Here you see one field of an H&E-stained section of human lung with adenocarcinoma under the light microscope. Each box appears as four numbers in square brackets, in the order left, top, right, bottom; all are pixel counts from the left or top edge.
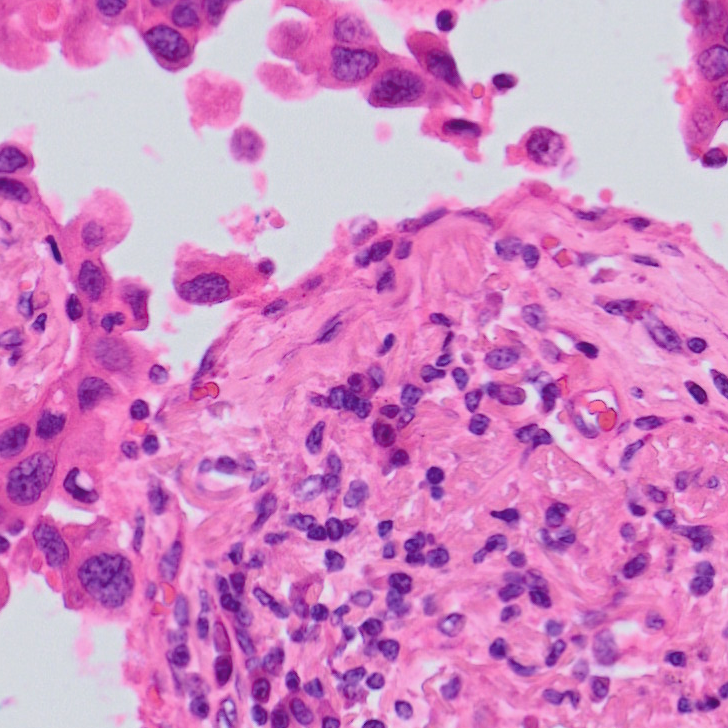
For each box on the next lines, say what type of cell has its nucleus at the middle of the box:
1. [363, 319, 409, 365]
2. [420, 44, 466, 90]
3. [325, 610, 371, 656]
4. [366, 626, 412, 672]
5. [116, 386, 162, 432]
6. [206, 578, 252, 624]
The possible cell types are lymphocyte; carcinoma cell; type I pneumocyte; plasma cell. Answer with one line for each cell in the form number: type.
1: lymphocyte
2: carcinoma cell
3: lymphocyte
4: lymphocyte
5: lymphocyte
6: plasma cell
